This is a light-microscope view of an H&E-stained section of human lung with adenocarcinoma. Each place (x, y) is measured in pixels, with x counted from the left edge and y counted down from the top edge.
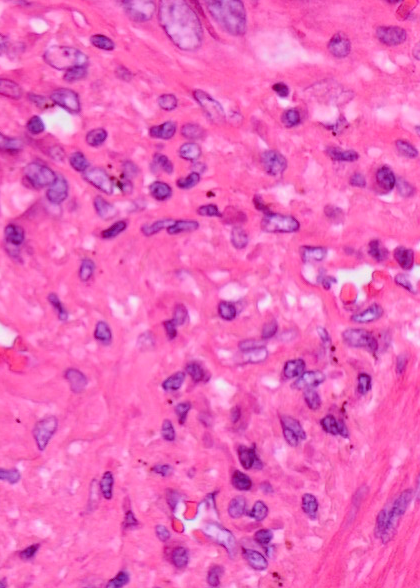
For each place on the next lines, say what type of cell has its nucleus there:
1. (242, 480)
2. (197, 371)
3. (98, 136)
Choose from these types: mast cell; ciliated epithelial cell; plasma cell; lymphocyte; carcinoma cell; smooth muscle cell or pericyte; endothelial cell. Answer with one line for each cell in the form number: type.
1: plasma cell
2: plasma cell
3: lymphocyte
